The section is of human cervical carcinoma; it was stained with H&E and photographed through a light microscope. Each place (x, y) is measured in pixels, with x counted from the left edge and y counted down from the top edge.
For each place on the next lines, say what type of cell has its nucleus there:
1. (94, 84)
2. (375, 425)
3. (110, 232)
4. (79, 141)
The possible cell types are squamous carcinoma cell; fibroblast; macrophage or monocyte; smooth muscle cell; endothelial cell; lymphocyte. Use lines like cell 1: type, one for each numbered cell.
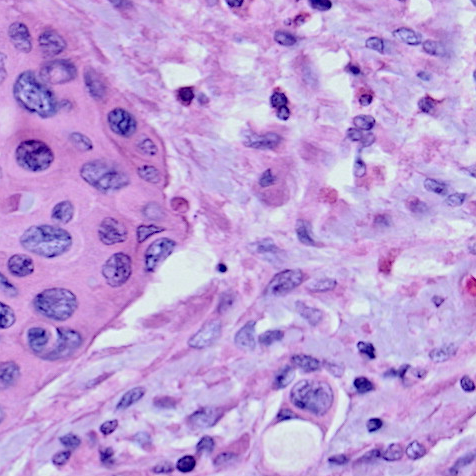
cell 1: squamous carcinoma cell
cell 2: lymphocyte
cell 3: squamous carcinoma cell
cell 4: squamous carcinoma cell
